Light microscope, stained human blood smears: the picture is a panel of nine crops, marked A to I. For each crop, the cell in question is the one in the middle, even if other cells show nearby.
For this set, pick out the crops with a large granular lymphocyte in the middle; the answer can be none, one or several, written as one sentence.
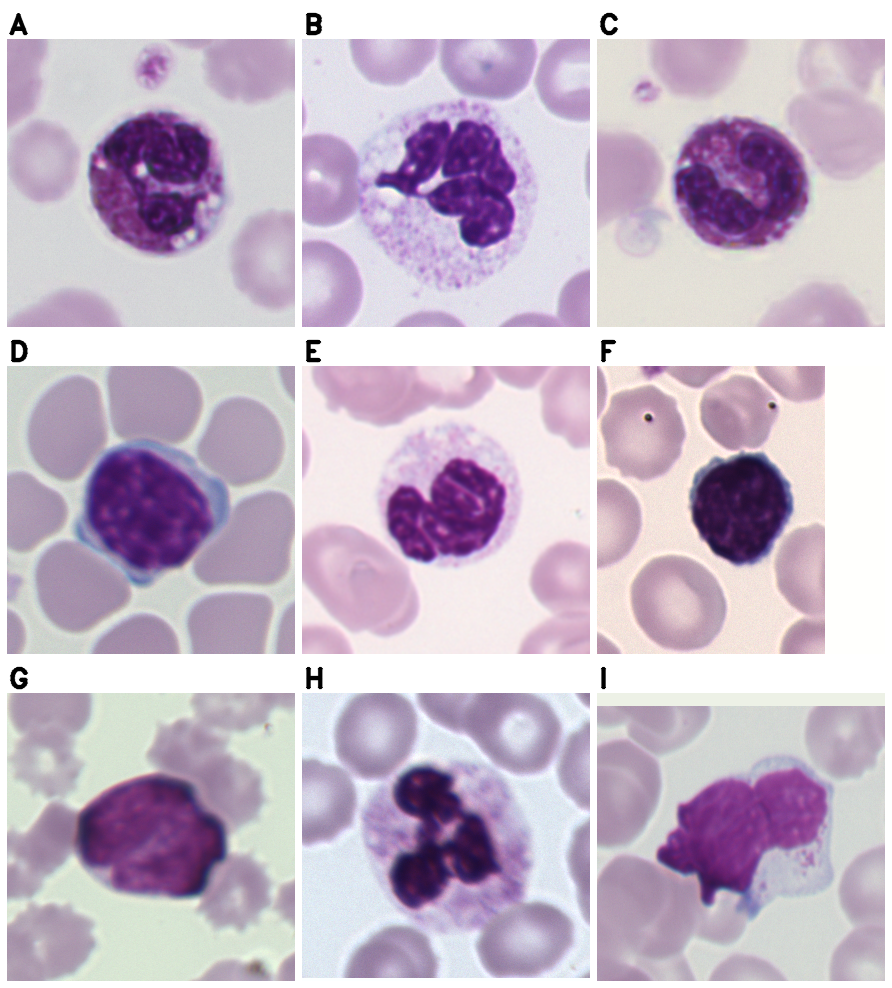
Among the crops, a large granular lymphocyte is shown by crop I alone.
